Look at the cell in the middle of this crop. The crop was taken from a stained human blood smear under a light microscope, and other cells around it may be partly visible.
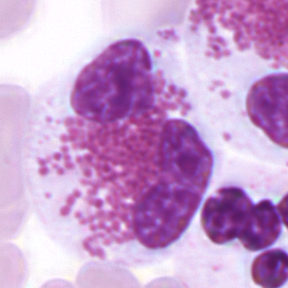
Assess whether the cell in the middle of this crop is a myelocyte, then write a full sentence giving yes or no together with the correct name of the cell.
No, the cell at the centre of the crop is an eosinophil and not a myelocyte.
